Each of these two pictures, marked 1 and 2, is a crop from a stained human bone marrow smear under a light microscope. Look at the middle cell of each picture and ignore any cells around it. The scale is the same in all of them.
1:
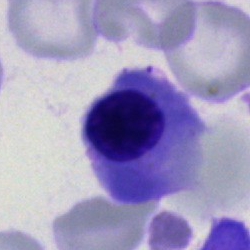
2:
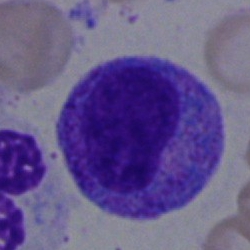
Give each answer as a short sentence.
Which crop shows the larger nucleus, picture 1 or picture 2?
The nucleus in picture 2 is larger, with about 2.5 times the area of the one in picture 1.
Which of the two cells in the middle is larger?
Larger is the cell in picture 2, at roughly 1.5 times the area of the other.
